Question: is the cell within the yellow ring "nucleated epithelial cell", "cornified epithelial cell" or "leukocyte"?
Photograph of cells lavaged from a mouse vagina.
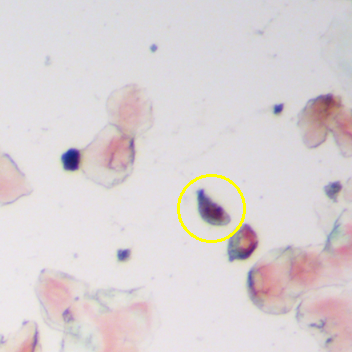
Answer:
nucleated epithelial cell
